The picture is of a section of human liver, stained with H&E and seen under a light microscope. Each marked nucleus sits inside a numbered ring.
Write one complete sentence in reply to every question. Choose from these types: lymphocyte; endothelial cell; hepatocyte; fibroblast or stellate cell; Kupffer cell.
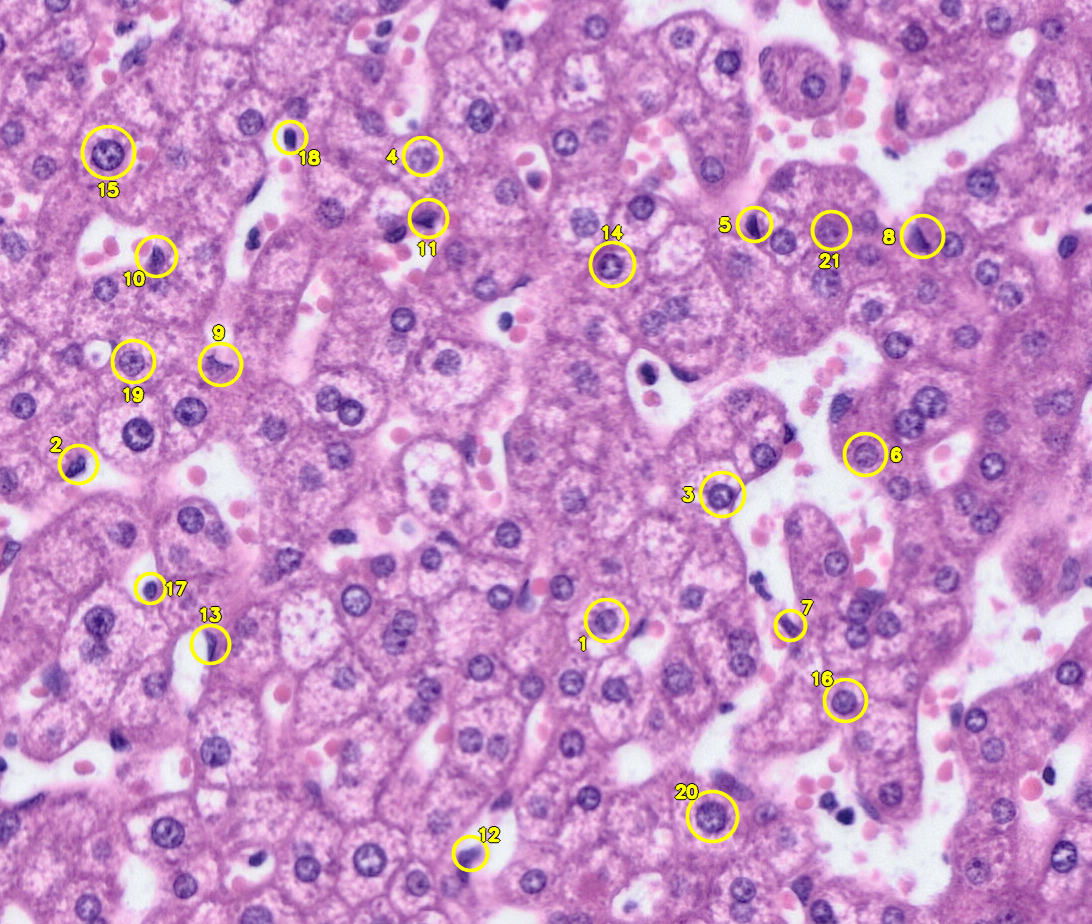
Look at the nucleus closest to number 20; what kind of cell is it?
It is a Kupffer cell whose nucleus is nearest to number 20.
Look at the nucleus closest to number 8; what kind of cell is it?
Closest to number 8 lies the nucleus of a hepatocyte.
